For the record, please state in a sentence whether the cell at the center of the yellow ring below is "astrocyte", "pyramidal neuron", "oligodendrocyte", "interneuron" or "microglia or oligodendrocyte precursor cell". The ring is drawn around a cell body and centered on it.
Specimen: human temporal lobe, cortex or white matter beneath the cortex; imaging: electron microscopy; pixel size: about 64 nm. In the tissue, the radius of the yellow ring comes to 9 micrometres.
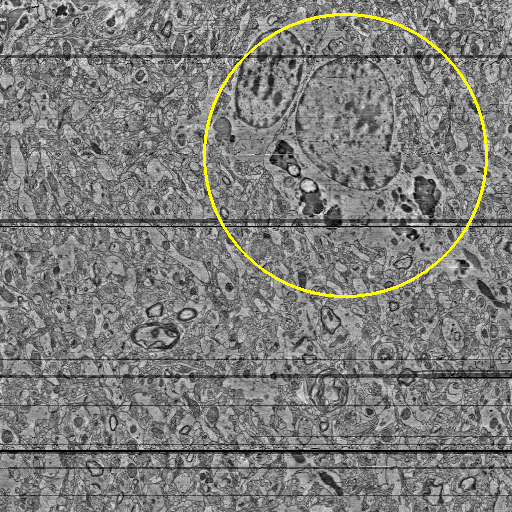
The cell at the ring's center is an astrocyte.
